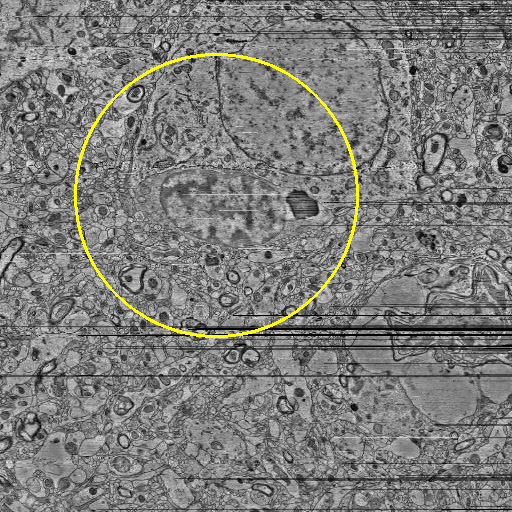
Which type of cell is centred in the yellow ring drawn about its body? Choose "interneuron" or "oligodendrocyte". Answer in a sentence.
The yellow ring surrounds the cell body of an oligodendrocyte.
